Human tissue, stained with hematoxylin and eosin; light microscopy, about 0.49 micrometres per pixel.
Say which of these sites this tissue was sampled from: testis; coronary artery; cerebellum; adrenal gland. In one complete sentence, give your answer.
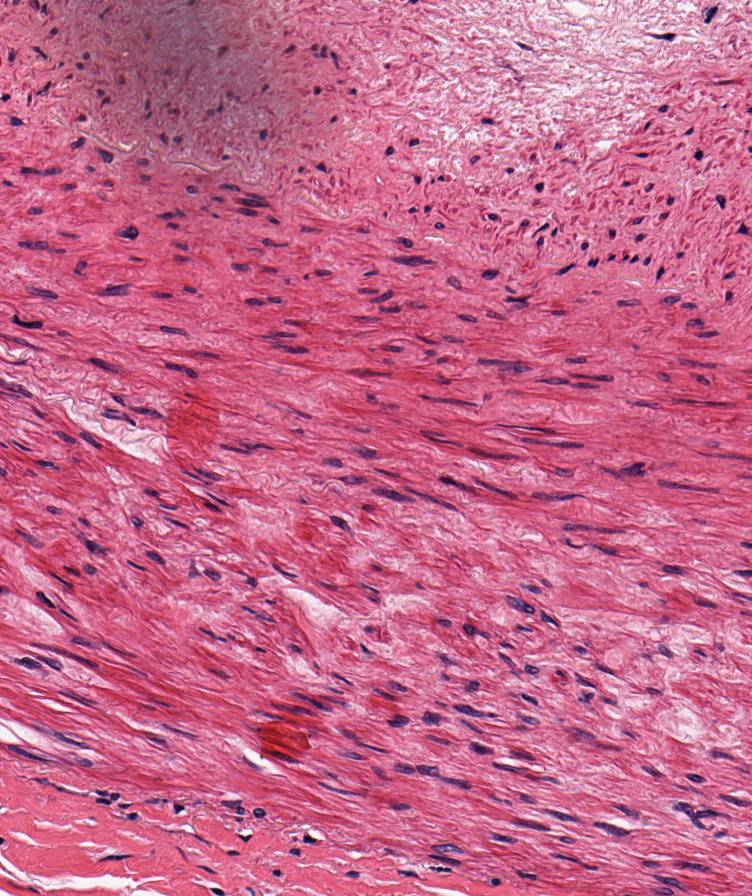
Tissue was sampled from the coronary artery for this slide.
